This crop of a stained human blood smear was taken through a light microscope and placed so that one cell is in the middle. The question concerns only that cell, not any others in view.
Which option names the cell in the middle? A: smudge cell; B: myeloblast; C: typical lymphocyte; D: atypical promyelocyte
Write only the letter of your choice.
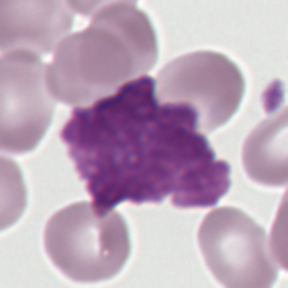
A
